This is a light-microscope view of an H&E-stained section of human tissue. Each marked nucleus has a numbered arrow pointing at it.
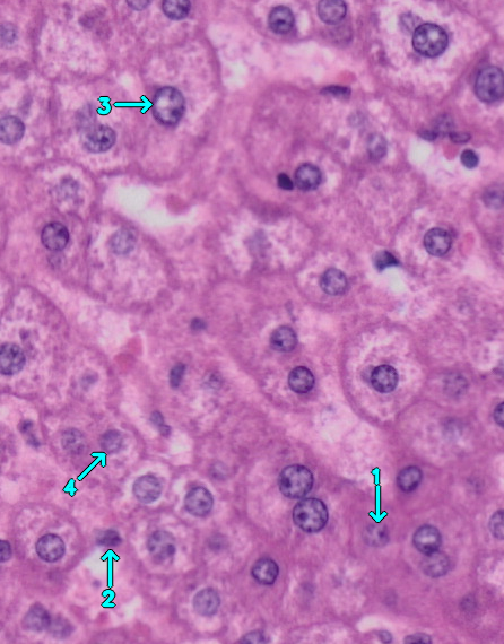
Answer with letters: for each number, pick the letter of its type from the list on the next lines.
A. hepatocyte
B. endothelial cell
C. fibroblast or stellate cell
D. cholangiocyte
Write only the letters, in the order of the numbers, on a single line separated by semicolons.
A; B; A; A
